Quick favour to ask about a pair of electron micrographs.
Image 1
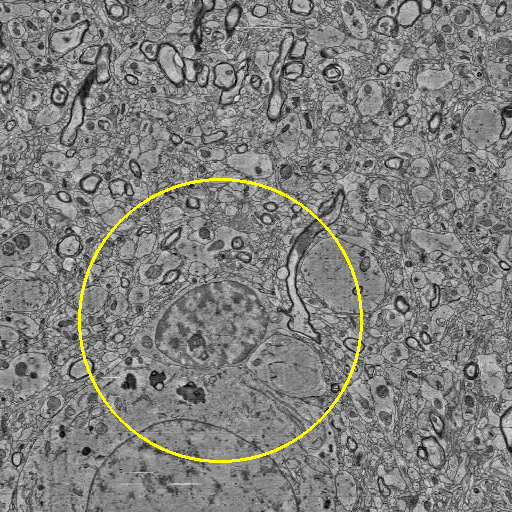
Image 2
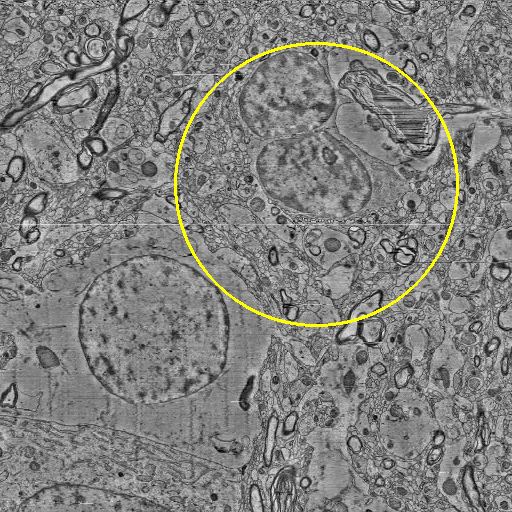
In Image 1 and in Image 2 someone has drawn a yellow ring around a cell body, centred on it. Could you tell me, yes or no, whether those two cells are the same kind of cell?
yes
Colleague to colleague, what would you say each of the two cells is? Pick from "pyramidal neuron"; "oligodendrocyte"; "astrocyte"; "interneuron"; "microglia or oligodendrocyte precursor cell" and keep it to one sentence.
Both the first and the second picture show an oligodendrocyte in the ring.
